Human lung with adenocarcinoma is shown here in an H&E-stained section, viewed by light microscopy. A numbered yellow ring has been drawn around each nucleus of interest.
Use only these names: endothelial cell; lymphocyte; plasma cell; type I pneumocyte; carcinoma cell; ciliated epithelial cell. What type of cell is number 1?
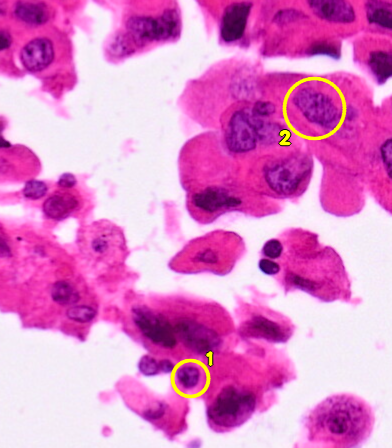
lymphocyte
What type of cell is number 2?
carcinoma cell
